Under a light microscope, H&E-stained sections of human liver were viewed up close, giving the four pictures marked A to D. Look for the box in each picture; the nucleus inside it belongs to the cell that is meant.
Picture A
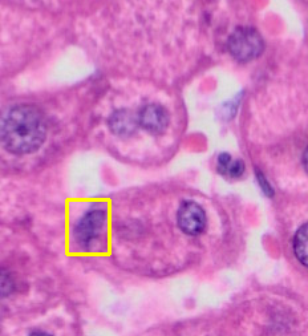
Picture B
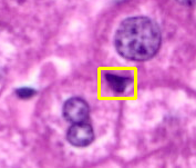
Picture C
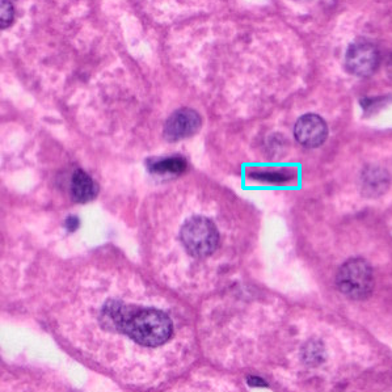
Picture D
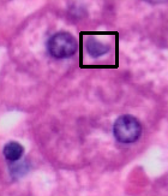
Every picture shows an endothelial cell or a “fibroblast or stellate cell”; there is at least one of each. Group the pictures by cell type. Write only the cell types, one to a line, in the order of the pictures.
fibroblast or stellate cell
fibroblast or stellate cell
fibroblast or stellate cell
endothelial cell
